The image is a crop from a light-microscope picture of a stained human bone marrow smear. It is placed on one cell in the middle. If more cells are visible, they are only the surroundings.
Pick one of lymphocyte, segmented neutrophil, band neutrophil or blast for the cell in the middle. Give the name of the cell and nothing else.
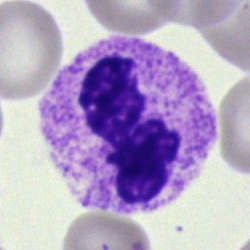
segmented neutrophil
